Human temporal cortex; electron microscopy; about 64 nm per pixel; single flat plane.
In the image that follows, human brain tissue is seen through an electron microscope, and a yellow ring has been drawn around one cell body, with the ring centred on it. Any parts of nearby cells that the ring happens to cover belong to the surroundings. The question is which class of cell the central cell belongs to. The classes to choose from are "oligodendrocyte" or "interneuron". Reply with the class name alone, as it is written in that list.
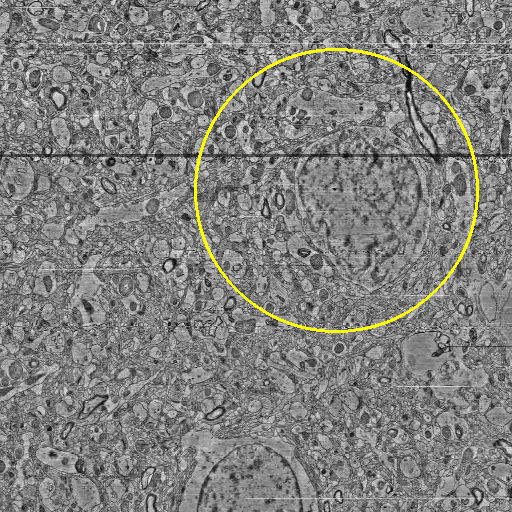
interneuron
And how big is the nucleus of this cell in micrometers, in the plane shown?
In this plane, the nucleus of the cell at the centre of the ring is about 8 micrometres across.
